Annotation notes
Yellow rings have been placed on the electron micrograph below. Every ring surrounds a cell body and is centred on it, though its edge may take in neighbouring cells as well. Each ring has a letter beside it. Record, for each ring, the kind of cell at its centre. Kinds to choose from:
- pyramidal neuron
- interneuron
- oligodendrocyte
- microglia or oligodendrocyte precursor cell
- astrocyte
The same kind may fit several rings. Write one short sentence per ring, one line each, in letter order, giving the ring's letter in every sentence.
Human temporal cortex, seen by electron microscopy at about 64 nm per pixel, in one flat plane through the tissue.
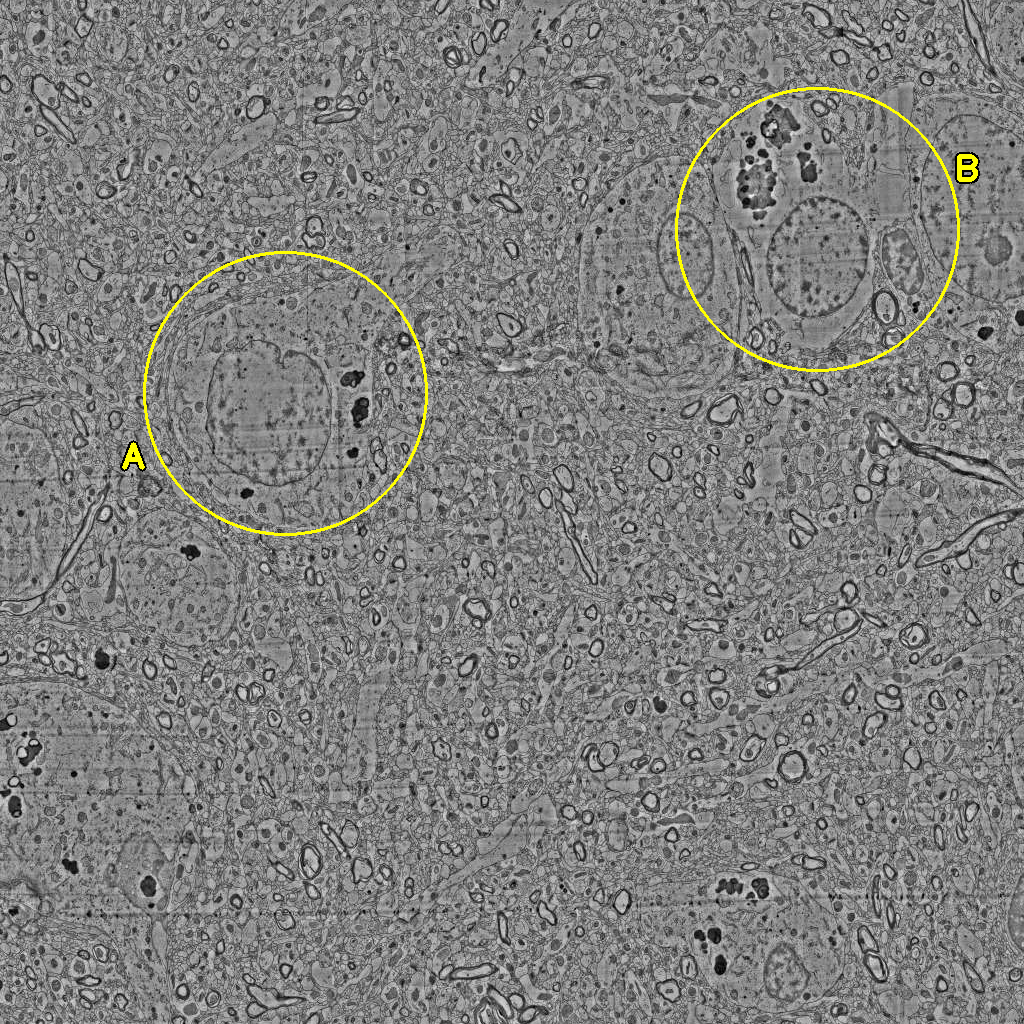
Ring A surrounds a pyramidal neuron.
Ring B surrounds an astrocyte.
